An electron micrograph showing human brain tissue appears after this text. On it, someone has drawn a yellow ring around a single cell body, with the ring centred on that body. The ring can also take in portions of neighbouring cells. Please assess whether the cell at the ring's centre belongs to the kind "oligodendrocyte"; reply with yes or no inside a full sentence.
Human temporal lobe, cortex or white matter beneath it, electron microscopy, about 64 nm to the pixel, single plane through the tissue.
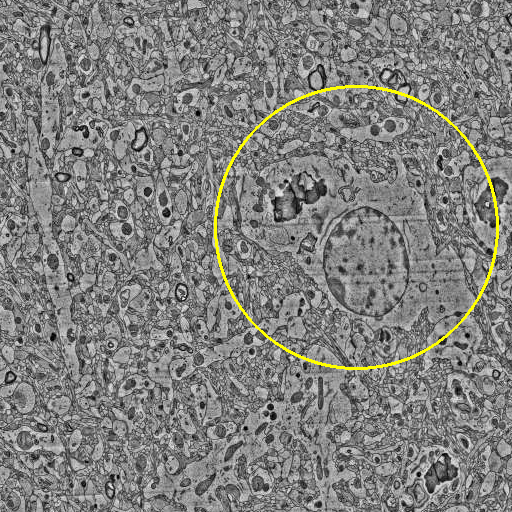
No, in this micrograph the cell at the centre of the ring is of another kind.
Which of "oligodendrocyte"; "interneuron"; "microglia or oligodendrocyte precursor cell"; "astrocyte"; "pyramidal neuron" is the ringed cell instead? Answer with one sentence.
So the cell at the centre is an astrocyte.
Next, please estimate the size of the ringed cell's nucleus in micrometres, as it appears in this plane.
The nucleus has a long axis of about 7 micrometres and a short axis of about 5 micrometres in this plane.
